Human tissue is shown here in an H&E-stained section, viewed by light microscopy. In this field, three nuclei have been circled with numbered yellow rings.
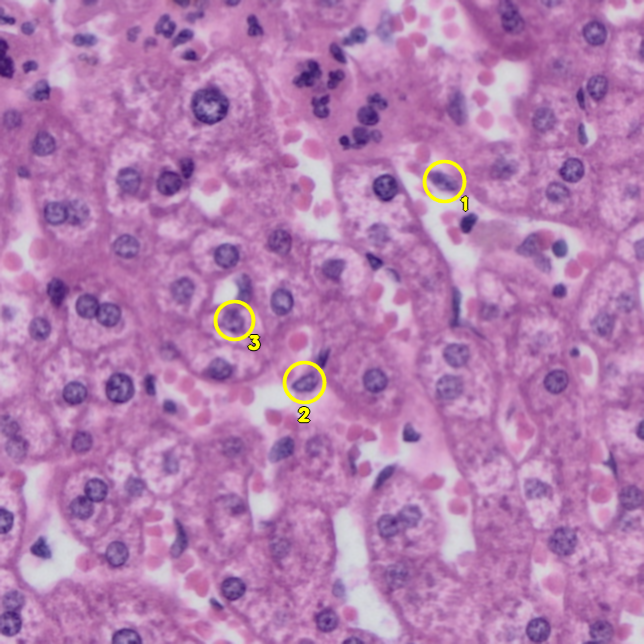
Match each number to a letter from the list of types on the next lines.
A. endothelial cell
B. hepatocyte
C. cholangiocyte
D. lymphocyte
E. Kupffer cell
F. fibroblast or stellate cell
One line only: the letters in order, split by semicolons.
E; E; B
